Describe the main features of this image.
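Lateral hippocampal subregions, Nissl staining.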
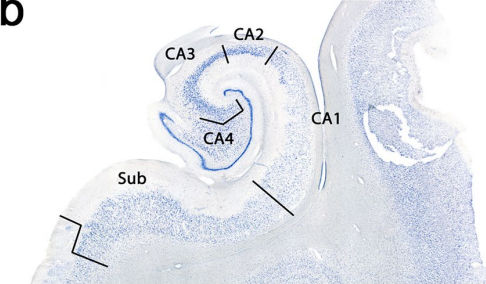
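A thin, densely stained blue band curves around the inner part of the spiral, enclosing a more loosely populated core of scattered cells. The pyramidal layer winds around the outside of this band as a broader, less densely stained band that is narrow and compact along one stretch and broadens where it runs outward. At the lower left it continues into a wide, cell-rich layer, and pale fibre-rich zones lie between the cell layers.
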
